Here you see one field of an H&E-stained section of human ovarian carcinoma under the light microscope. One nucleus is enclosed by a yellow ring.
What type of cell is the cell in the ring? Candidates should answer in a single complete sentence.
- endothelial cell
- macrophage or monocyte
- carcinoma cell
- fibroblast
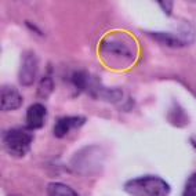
In cell-type terms, the cell in the ring is an endothelial cell.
